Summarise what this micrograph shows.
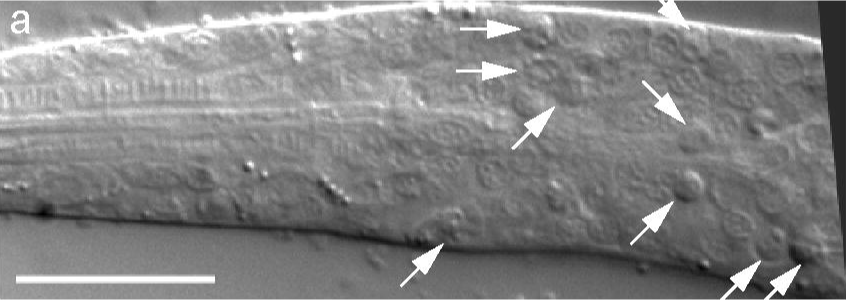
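The dying cells are small, round and refractile, raised in relief like buttons, and lie among living cells whose round nuclei with a central nucleolus are clearly outlined. A long tubular structure with fine longitudinal texture runs through the middle of the head, while the body wall and its smooth cuticle edge bound the upper and lower sides. Small granules dot the tissue, and the body tapers toward the left.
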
